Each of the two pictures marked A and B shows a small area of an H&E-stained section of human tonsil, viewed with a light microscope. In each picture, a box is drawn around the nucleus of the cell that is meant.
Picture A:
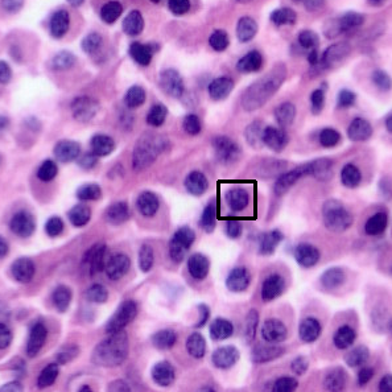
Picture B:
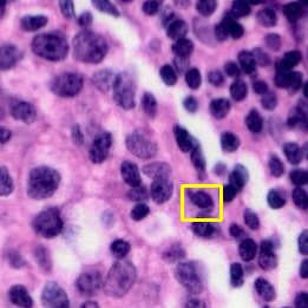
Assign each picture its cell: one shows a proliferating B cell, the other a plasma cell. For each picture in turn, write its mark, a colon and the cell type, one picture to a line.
A: plasma cell
B: proliferating B cell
